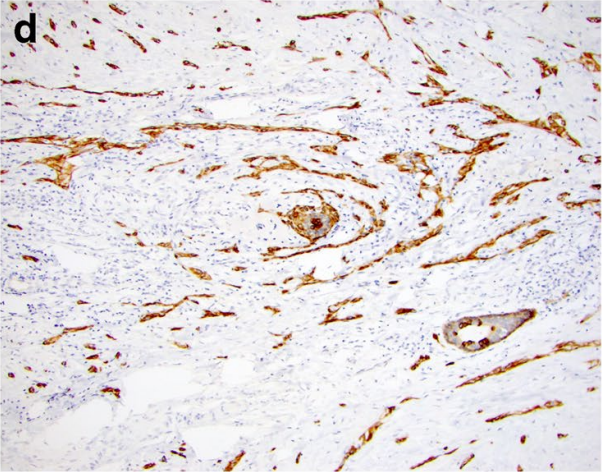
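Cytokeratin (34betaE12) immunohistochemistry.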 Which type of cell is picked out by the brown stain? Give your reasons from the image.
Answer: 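Brown-stained elongated spindle cells run singly and in strands through pale stroma. Unstained blue nuclei of other stromal cells lie between the brown cells. Small brown-stained duct-like nests are also present.
Conclusion: malignant epithelial cells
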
